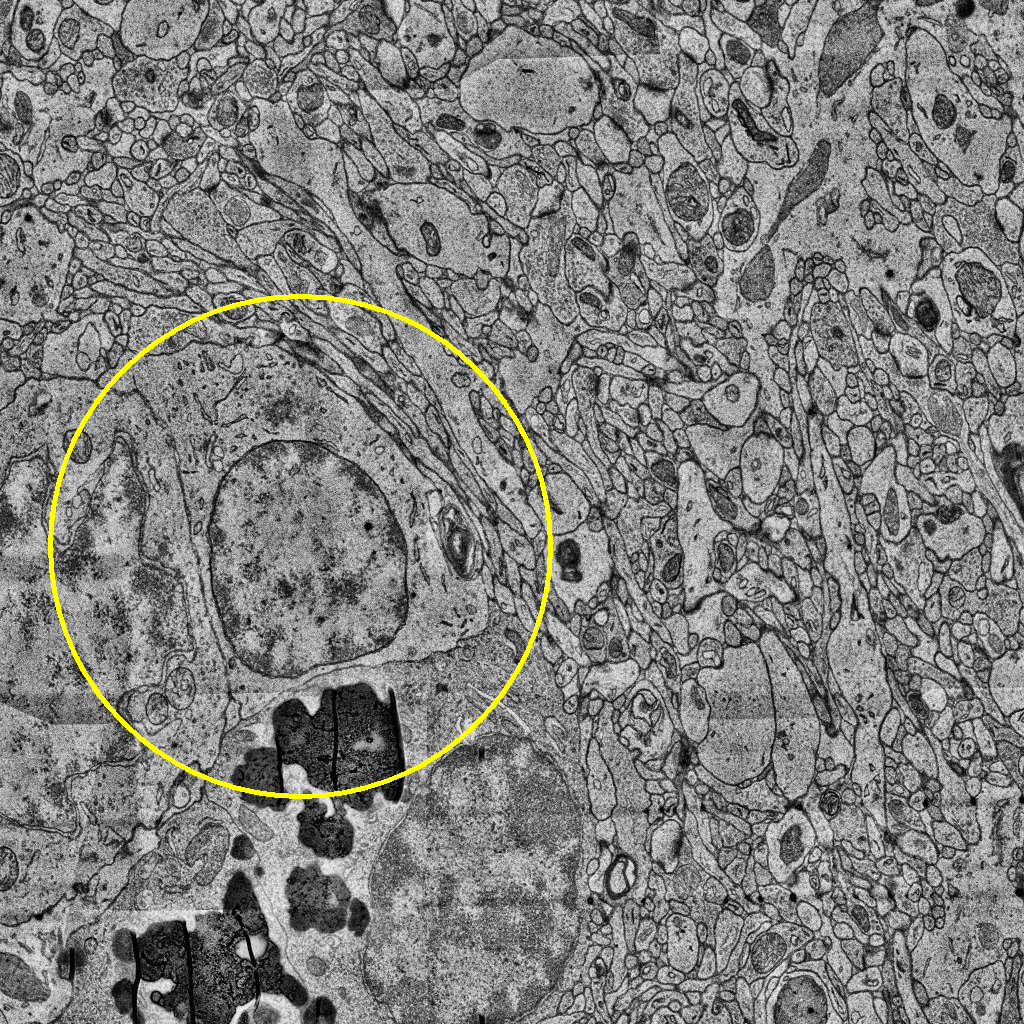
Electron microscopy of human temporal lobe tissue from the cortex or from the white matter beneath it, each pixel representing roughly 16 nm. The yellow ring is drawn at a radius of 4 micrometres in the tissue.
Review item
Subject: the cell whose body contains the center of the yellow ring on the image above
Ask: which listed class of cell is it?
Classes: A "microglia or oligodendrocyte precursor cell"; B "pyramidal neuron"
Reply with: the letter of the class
A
